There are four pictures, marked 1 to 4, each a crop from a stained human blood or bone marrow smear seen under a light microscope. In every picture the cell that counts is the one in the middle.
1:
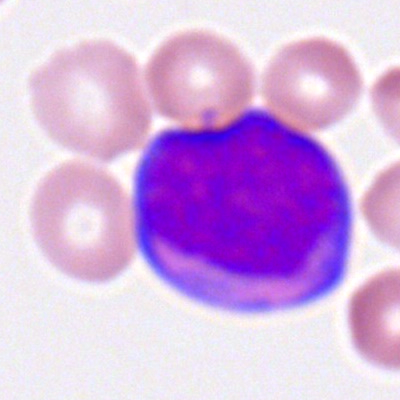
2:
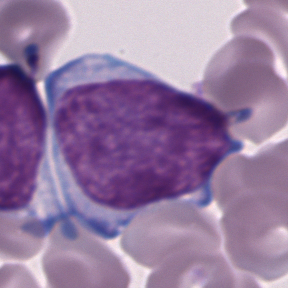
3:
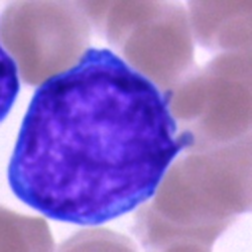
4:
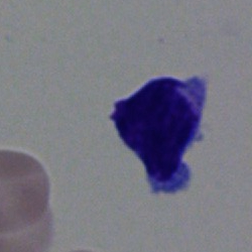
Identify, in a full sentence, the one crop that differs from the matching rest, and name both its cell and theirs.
Crop 4 does not match the others; it shows a lymphocyte, and they show blasts.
